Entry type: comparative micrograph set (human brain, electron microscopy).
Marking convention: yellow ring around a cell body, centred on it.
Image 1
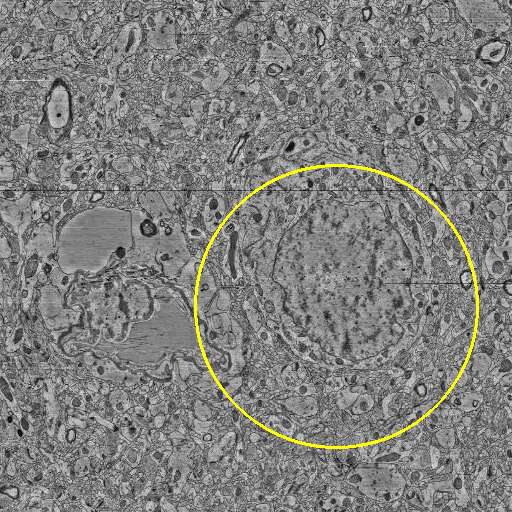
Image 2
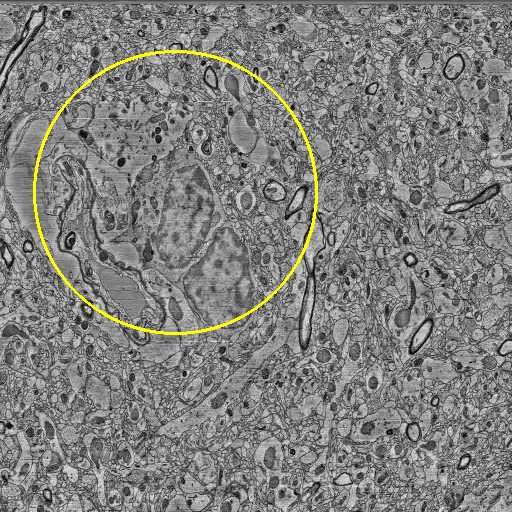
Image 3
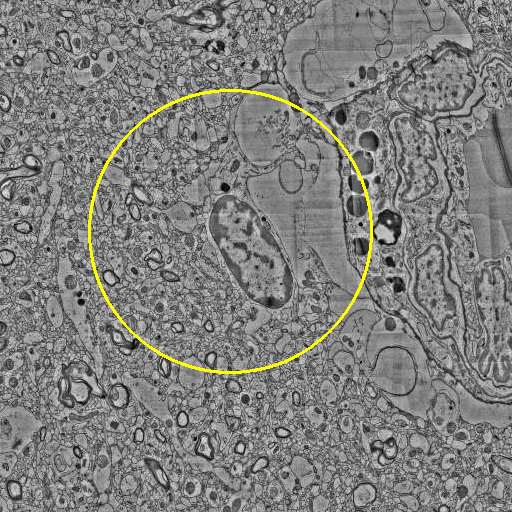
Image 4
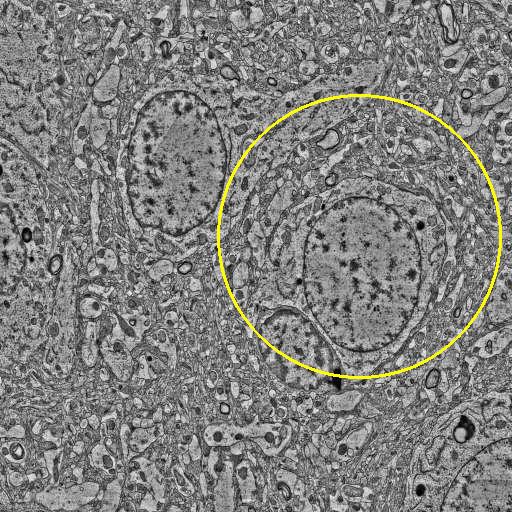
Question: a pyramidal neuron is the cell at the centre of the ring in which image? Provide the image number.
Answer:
4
